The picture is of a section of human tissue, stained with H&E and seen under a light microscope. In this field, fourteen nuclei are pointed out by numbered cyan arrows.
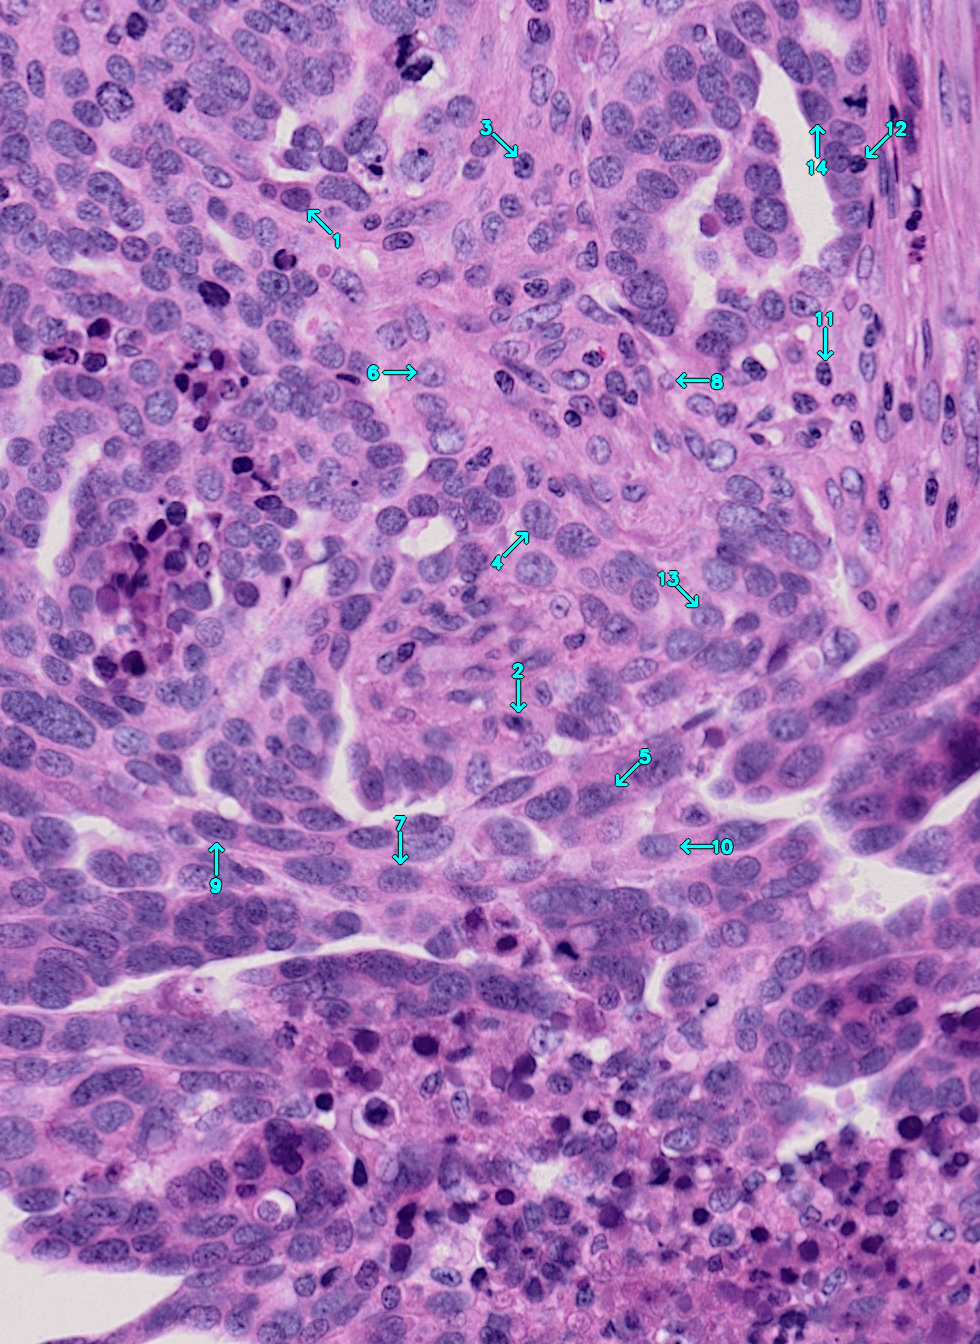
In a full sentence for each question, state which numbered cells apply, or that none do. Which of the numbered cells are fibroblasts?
The cells numbered 6 and 8 are, by type, fibroblasts.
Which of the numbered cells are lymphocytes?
The cells marked with the numbers 2, 3, 11 and 12 are lymphocytes.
